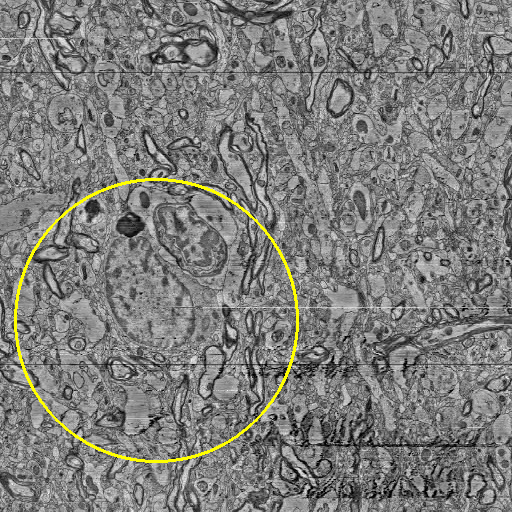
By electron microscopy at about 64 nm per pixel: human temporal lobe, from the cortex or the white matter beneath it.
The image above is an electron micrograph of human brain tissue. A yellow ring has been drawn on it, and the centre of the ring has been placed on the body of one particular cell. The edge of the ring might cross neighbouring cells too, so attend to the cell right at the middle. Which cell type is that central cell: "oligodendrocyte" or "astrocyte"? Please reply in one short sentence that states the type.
The central cell in the ring is an oligodendrocyte.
